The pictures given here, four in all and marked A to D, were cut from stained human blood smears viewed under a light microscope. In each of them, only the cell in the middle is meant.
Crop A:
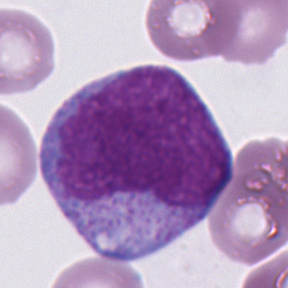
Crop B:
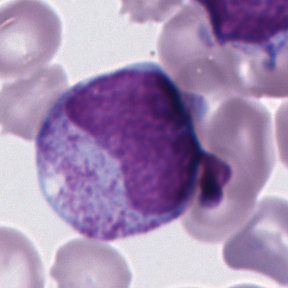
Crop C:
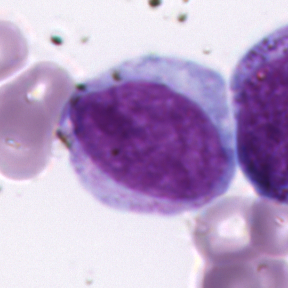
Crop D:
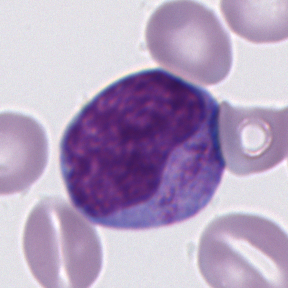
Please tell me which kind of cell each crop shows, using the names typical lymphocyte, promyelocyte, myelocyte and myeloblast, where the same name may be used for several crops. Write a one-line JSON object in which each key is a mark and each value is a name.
{"A": "promyelocyte", "B": "myelocyte", "C": "myelocyte", "D": "promyelocyte"}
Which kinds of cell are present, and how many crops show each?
promyelocyte: 2
myelocyte: 2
